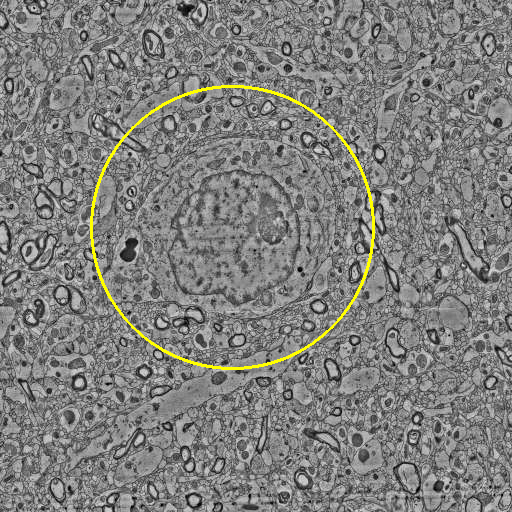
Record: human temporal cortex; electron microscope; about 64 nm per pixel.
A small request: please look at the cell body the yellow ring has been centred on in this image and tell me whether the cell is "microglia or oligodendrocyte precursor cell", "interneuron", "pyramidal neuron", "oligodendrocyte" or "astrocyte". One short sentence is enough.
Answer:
The cell marked by the ring is an interneuron.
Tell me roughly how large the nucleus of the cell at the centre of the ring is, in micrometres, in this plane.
Roughly 9 micrometers across in this plane.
